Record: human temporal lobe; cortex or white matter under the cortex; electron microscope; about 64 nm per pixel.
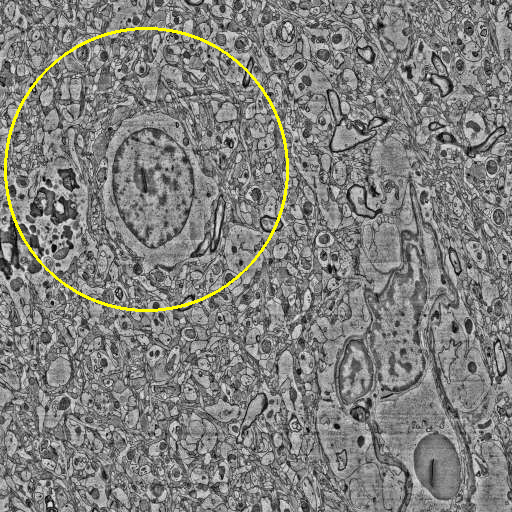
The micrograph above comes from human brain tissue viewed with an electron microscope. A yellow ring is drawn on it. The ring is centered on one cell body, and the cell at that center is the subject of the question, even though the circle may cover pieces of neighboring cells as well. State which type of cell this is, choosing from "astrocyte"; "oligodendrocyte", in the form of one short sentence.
The cell the ring is centered on is an astrocyte.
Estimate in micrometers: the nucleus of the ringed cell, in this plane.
About 8 by 5 micrometres in this plane.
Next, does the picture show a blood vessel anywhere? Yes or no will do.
Yes, a blood vessel shows in the picture.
